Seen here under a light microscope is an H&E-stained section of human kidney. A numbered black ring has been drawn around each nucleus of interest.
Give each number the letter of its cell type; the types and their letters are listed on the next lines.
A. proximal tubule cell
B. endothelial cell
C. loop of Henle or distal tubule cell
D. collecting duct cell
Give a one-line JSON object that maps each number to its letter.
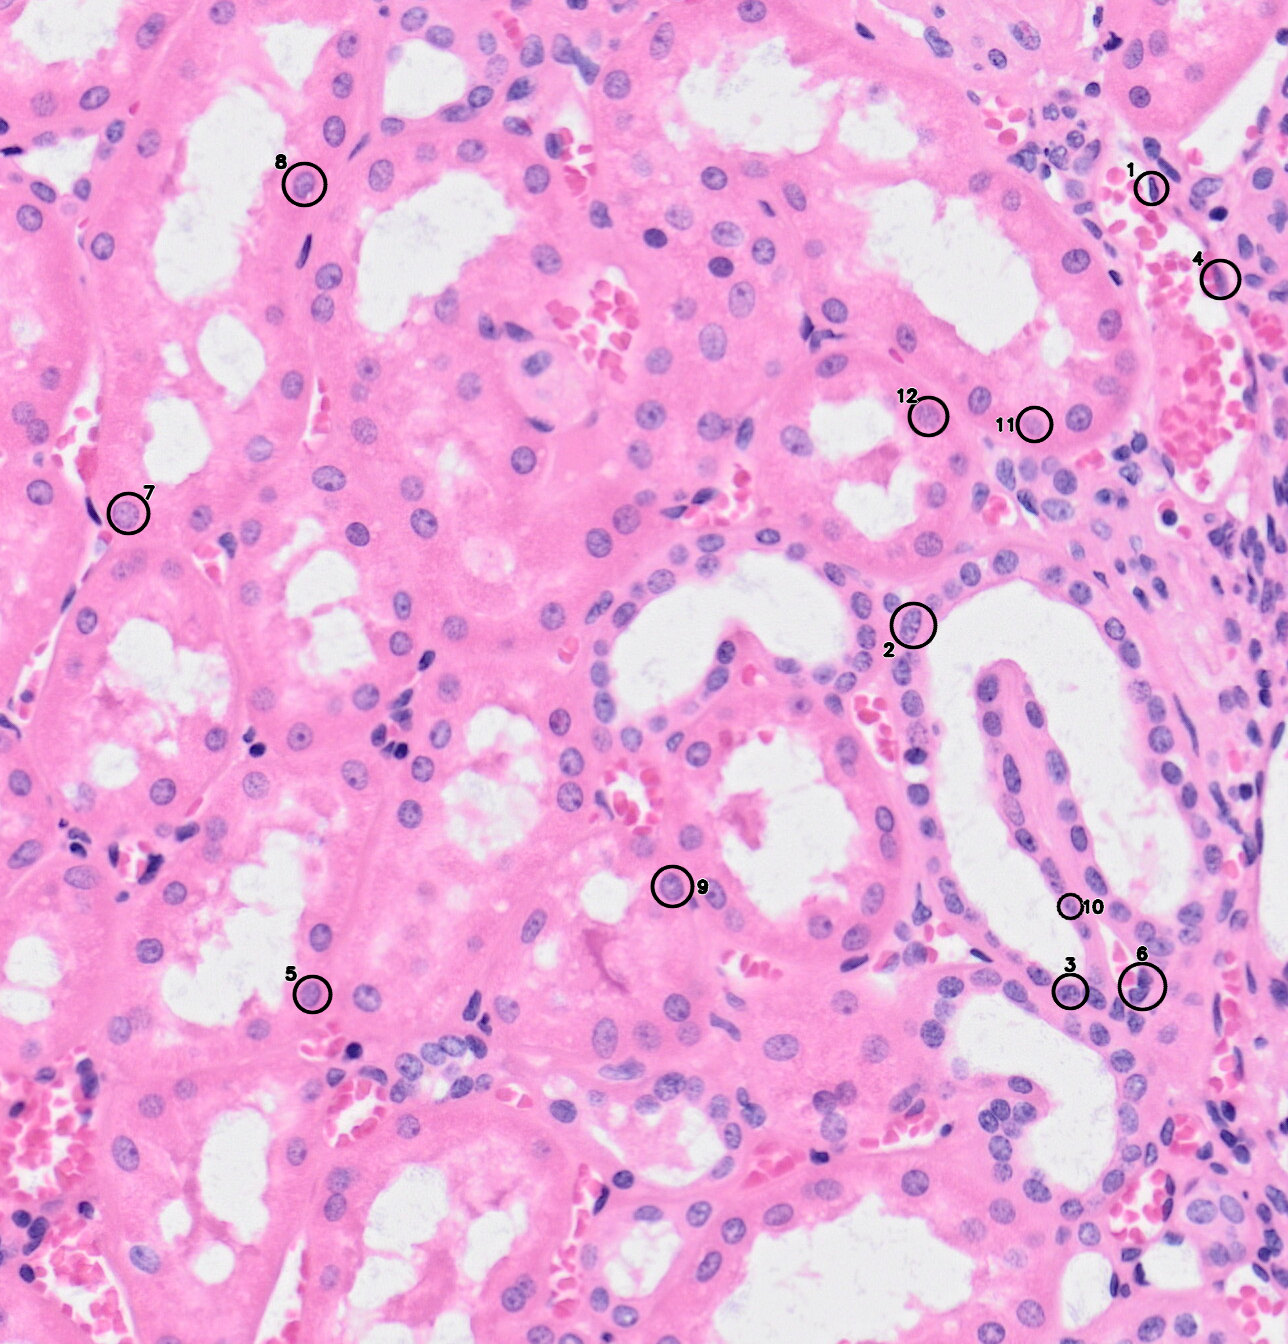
{"1": "B", "2": "D", "3": "D", "4": "B", "5": "A", "6": "B", "7": "A", "8": "A", "9": "A", "10": "D", "11": "A", "12": "A"}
